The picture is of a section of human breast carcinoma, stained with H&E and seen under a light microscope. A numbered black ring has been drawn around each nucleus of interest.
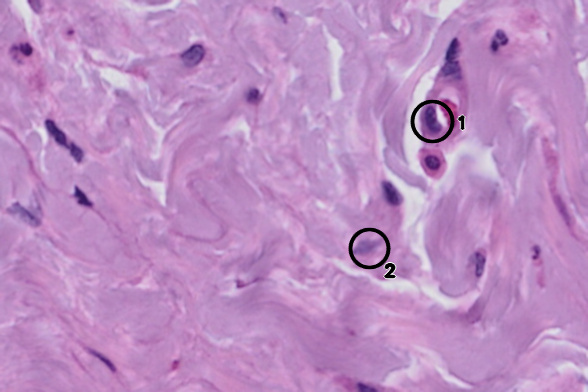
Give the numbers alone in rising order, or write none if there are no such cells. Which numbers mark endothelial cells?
1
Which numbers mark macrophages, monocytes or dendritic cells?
none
